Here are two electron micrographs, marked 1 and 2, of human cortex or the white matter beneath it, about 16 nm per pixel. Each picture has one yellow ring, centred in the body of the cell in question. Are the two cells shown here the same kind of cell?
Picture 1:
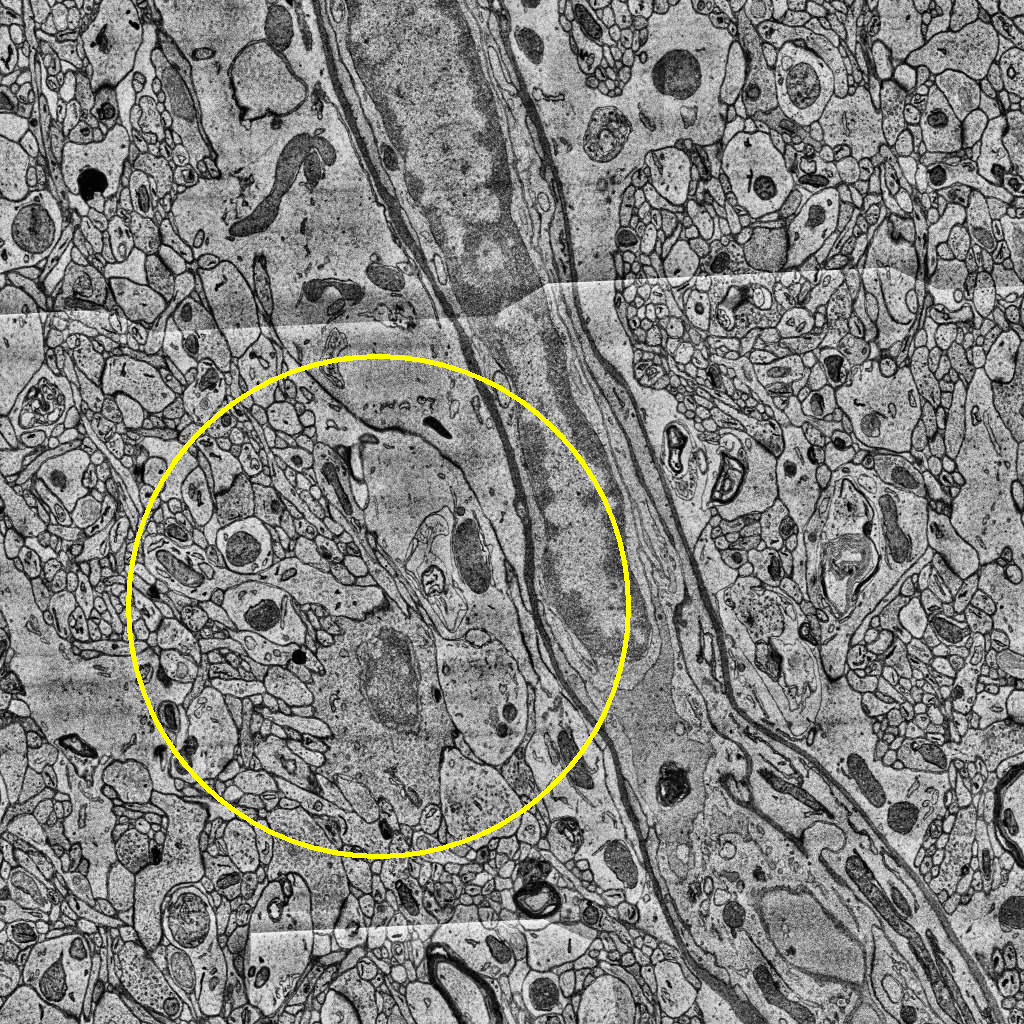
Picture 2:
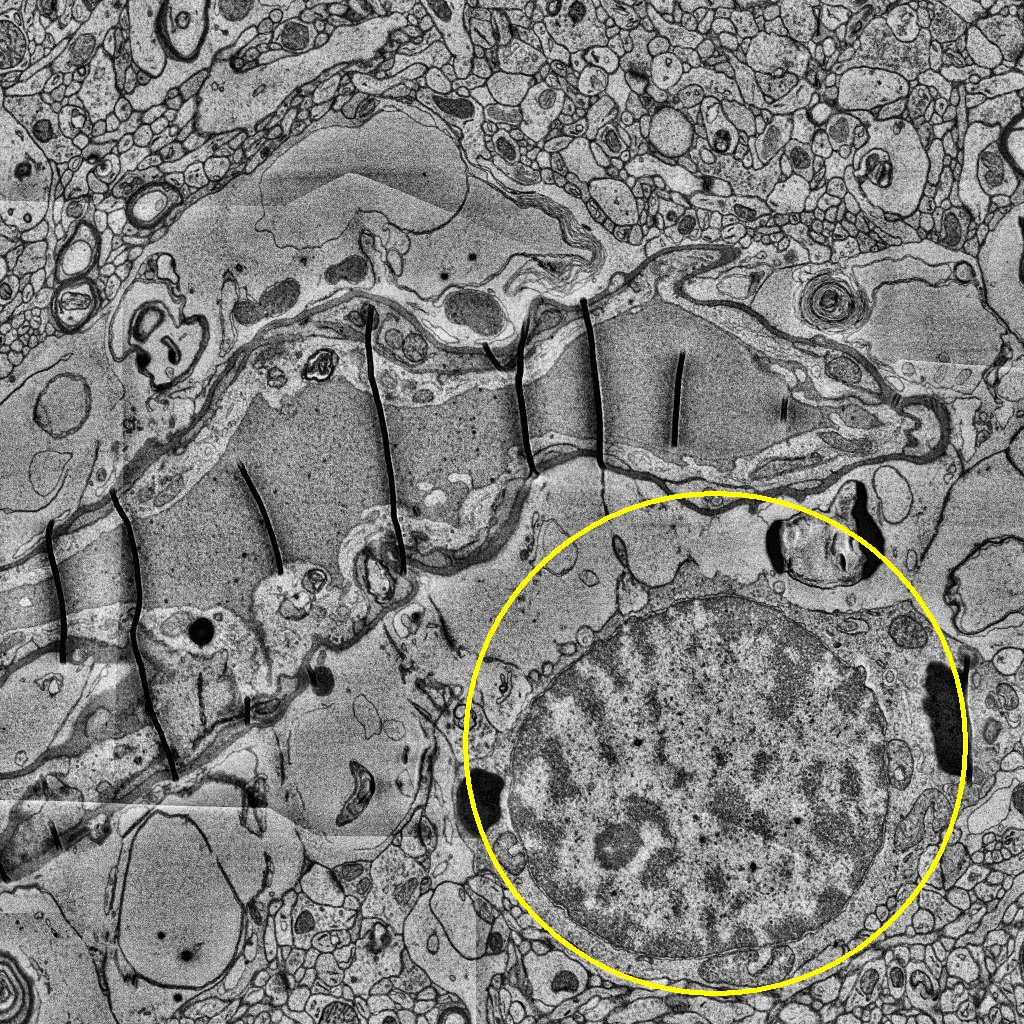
Yes, they are the same type: both are oligodendrocytes.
